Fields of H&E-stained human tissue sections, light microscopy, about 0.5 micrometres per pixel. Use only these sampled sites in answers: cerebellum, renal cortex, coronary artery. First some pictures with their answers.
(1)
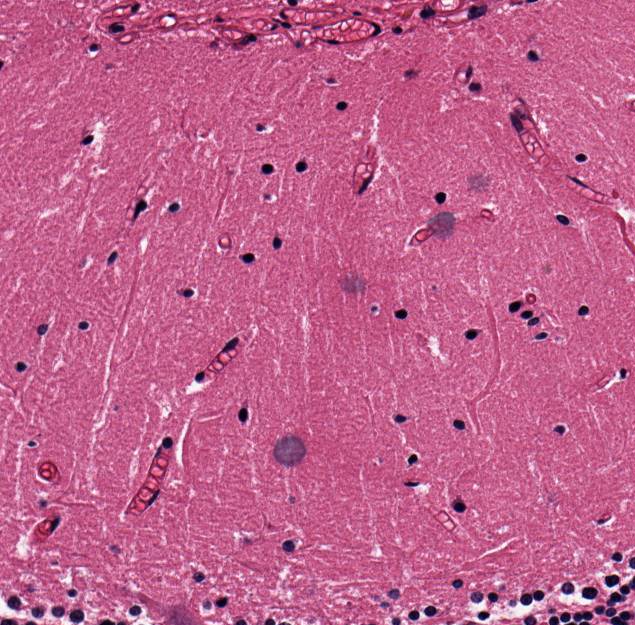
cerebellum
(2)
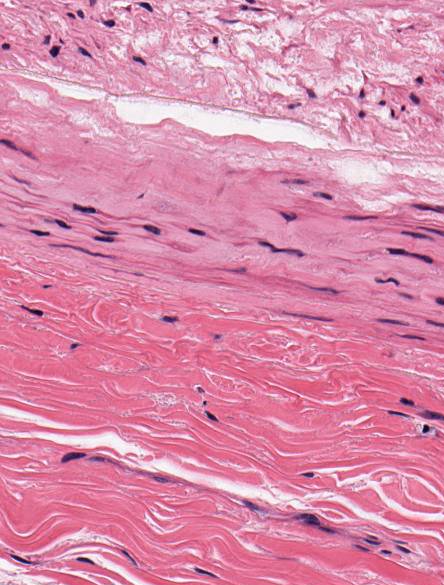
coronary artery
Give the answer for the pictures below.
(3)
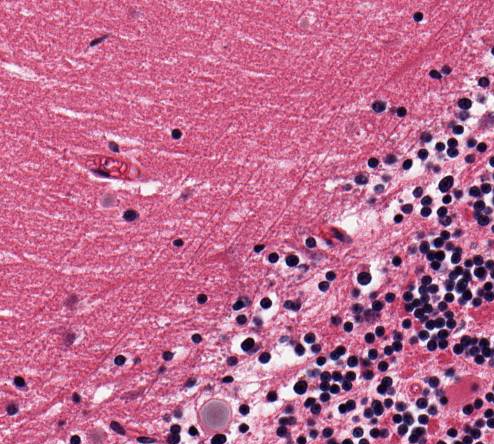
cerebellum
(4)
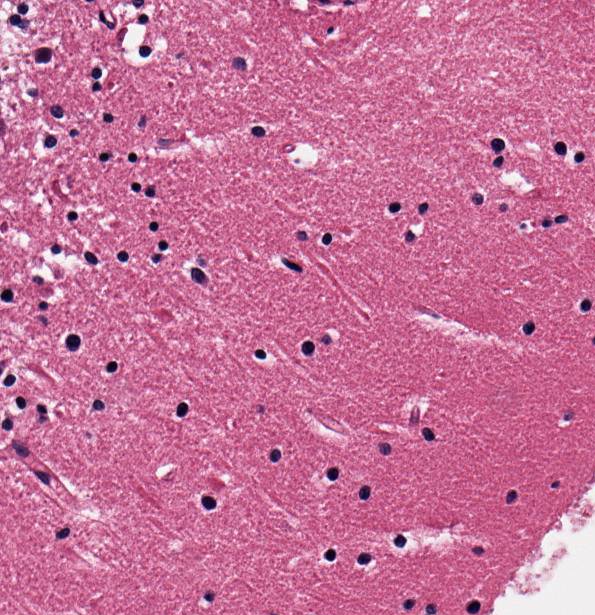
cerebellum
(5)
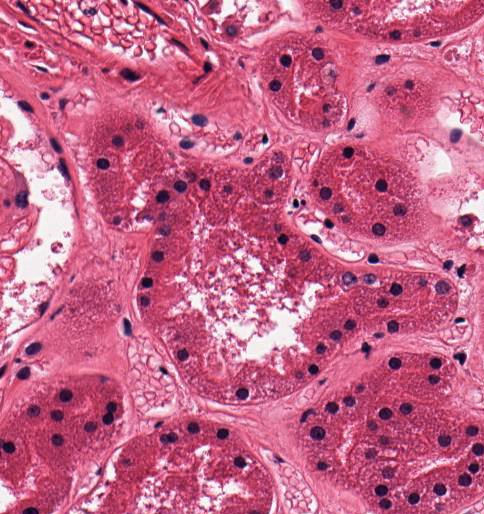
renal cortex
